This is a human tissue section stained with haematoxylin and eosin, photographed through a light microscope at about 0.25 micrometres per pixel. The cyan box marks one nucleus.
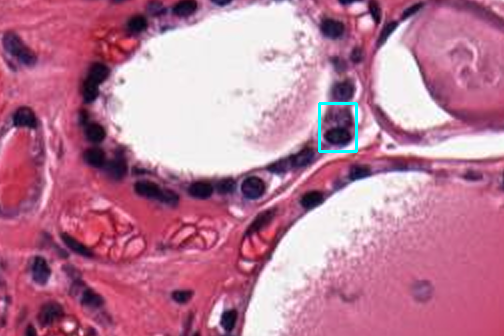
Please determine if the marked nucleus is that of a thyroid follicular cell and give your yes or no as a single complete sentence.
Yes, the marked nucleus sits in a thyroid follicular cell.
